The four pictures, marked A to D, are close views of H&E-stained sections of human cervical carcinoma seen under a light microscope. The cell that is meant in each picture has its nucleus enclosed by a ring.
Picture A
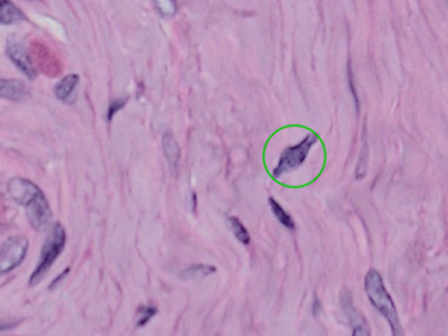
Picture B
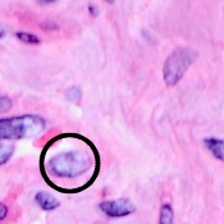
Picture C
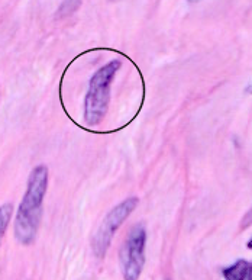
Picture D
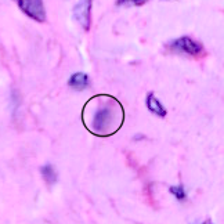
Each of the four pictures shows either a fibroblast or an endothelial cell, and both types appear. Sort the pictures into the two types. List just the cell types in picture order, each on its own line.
fibroblast
endothelial cell
fibroblast
fibroblast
